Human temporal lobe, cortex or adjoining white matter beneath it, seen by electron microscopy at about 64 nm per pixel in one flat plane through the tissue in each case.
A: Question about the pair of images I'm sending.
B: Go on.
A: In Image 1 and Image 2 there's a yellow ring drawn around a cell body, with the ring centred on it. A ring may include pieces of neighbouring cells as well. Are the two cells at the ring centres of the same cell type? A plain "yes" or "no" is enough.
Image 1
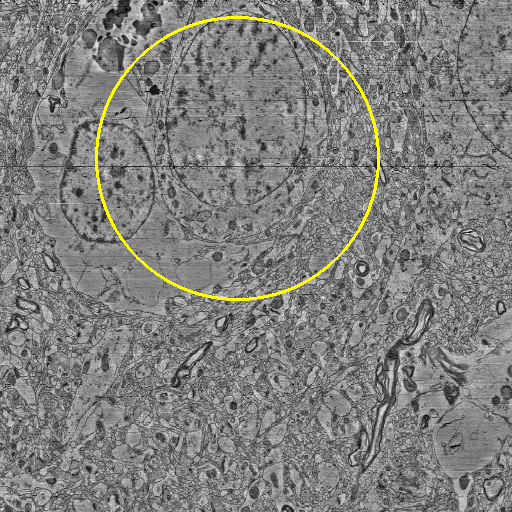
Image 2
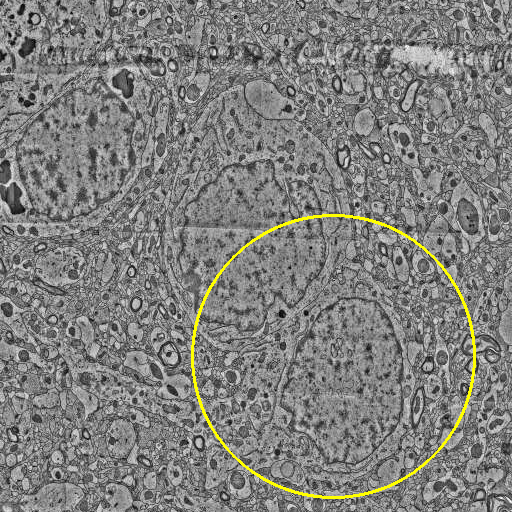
no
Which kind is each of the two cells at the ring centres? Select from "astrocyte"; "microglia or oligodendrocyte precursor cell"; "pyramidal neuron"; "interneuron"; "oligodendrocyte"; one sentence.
The cell at the centre of the ring is a pyramidal neuron in the first picture and an interneuron in the second.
